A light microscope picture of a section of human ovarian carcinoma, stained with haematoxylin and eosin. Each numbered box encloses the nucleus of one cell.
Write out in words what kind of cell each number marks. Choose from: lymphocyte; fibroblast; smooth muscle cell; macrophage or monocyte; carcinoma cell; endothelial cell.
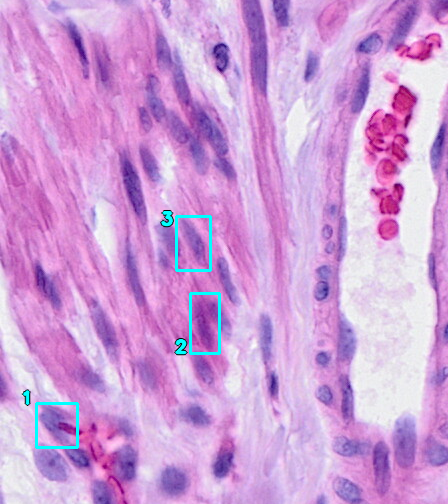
Cell 1 is an endothelial cell. Cells 2 and 3 are smooth muscle cells.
